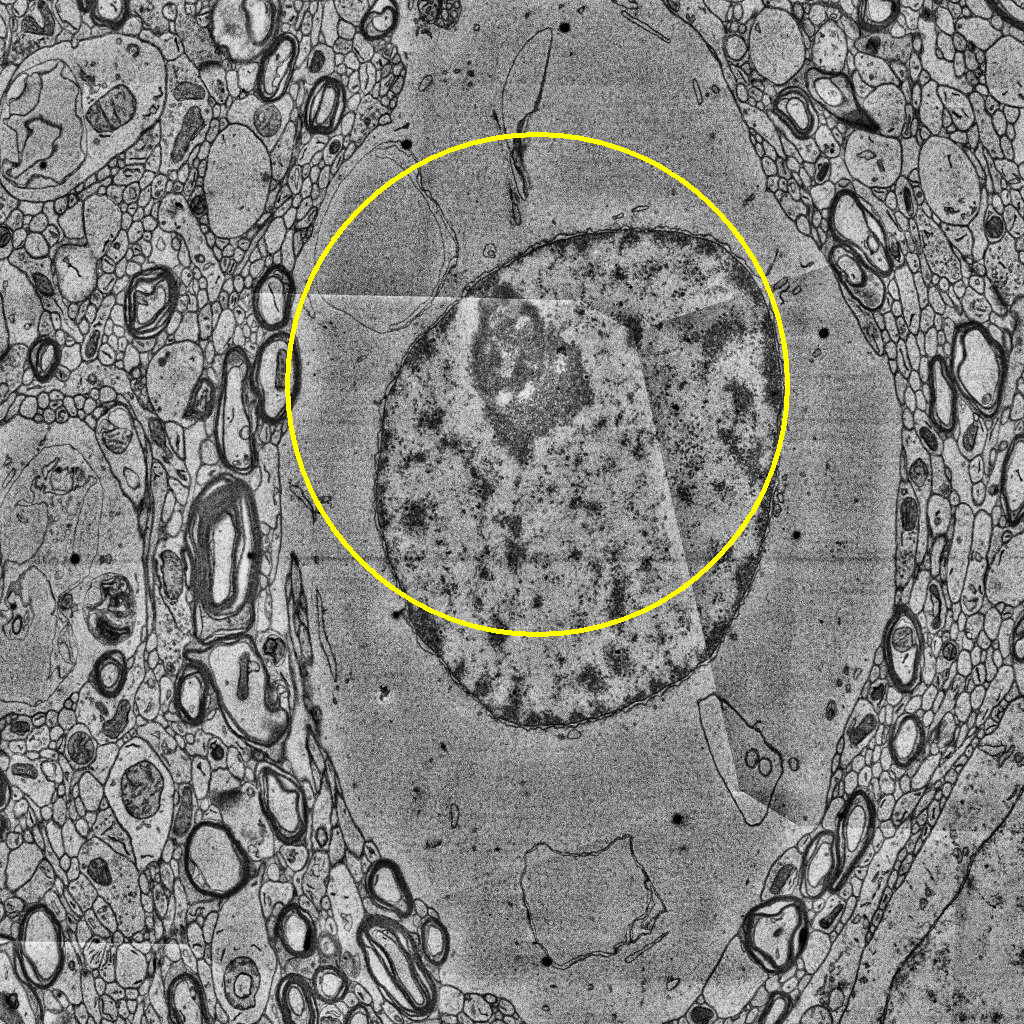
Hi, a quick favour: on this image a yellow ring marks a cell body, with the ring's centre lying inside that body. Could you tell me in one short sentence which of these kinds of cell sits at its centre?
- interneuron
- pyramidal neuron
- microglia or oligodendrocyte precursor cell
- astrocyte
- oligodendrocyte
The ring's centre lies in an astrocyte.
